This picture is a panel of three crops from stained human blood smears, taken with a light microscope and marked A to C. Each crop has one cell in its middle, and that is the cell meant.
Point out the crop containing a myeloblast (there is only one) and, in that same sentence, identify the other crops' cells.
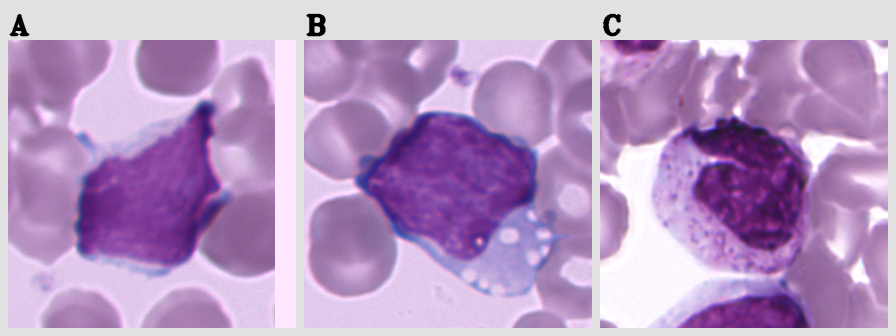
Crop B represents a myeloblast, while crop A is a typical lymphocyte and crop C is a band neutrophil.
